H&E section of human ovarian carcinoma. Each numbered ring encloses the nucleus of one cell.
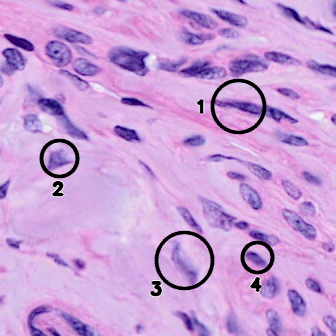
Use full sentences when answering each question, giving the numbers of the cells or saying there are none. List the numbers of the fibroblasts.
The cells marked 2 and 3 in the section are fibroblasts.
